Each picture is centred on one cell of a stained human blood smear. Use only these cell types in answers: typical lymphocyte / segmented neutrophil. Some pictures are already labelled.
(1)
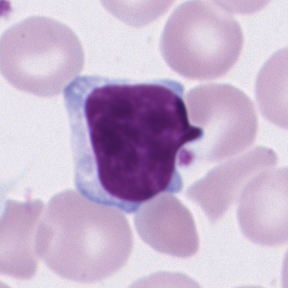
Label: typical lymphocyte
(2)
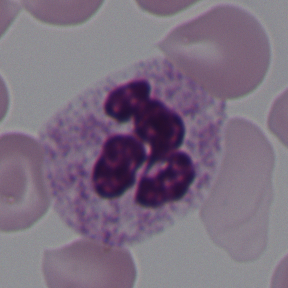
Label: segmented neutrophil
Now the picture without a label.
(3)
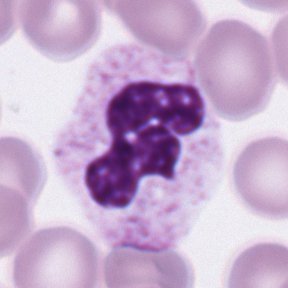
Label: segmented neutrophil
